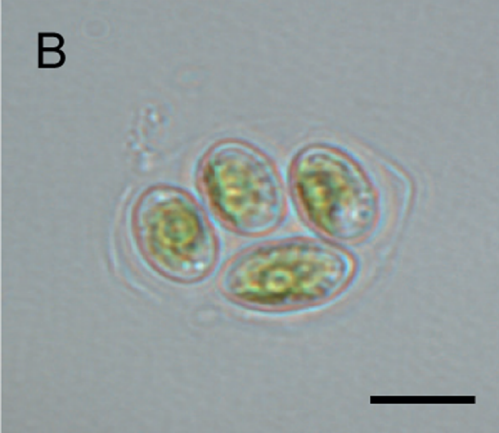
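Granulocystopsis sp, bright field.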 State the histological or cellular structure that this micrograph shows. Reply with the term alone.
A: Enlarged parent wall.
